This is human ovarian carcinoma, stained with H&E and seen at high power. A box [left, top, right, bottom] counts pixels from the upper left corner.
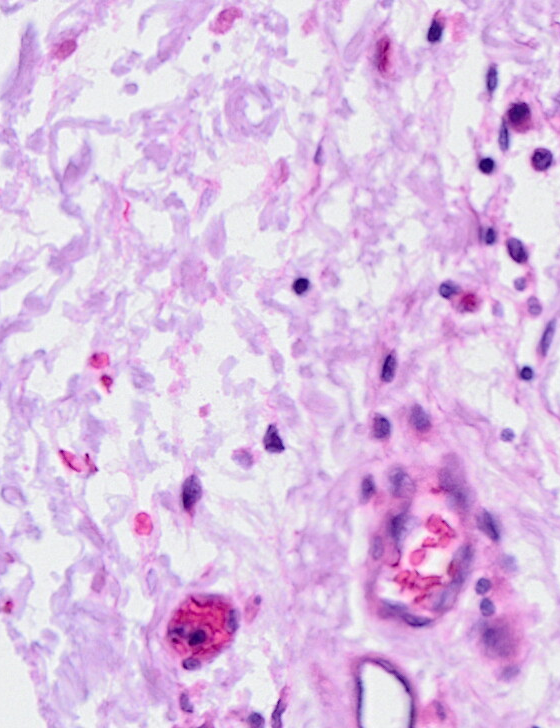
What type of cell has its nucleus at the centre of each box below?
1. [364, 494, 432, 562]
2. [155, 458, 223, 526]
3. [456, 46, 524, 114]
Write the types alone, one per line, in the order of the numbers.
endothelial cell
fibroblast
fibroblast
